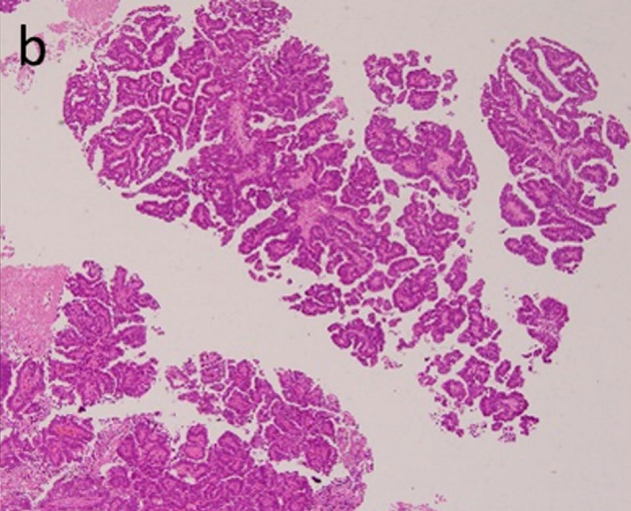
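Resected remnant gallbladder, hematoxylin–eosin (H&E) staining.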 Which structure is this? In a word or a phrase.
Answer: high papillary architecture with thin fibrovascular stalks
